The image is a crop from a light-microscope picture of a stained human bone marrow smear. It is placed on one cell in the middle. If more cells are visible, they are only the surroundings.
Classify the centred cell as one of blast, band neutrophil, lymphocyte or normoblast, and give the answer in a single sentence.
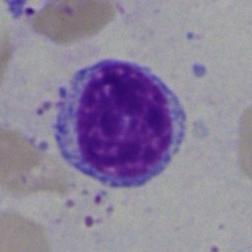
The cell sitting right in the middle is a lymphocyte.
